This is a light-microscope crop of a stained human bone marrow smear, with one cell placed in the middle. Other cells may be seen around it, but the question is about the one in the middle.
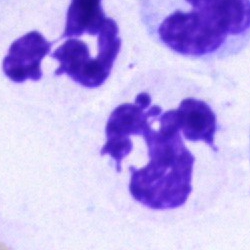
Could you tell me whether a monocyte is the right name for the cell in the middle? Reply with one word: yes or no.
no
